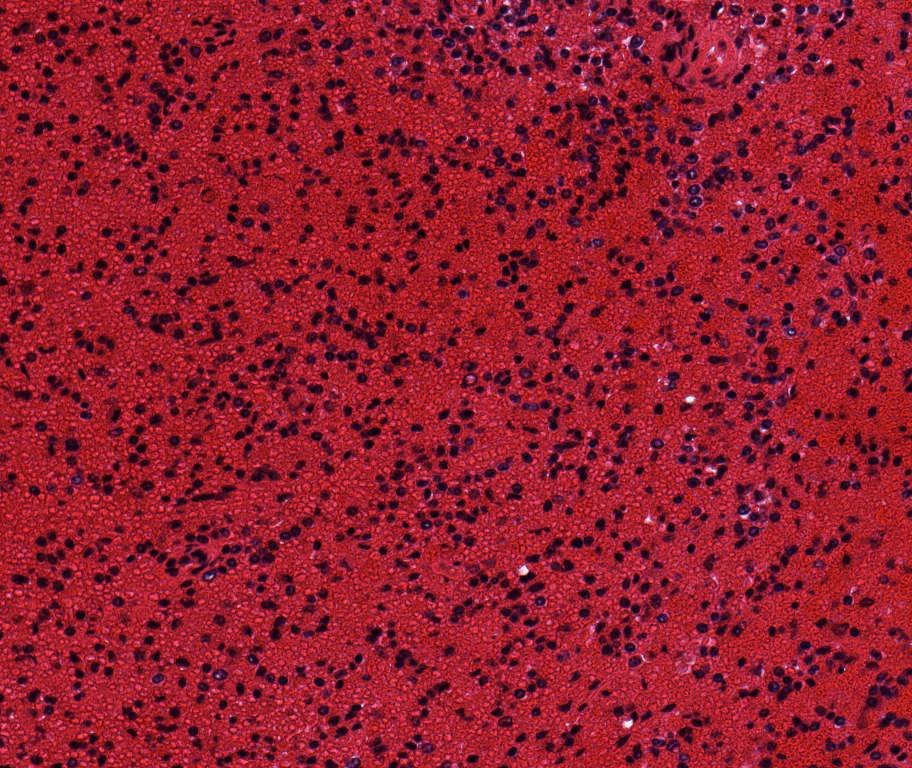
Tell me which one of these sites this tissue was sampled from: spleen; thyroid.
spleen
